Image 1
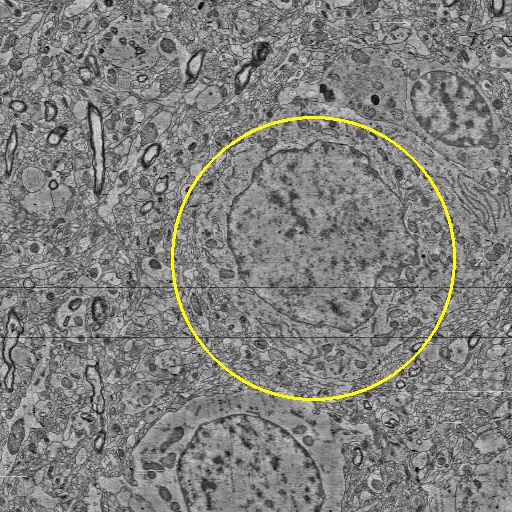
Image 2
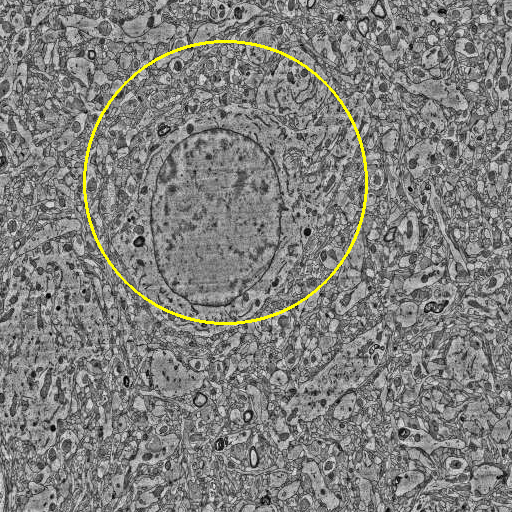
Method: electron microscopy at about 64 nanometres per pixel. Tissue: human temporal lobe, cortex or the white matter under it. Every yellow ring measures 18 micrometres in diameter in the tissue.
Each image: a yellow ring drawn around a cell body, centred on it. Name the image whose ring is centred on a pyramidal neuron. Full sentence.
That is Image 2.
